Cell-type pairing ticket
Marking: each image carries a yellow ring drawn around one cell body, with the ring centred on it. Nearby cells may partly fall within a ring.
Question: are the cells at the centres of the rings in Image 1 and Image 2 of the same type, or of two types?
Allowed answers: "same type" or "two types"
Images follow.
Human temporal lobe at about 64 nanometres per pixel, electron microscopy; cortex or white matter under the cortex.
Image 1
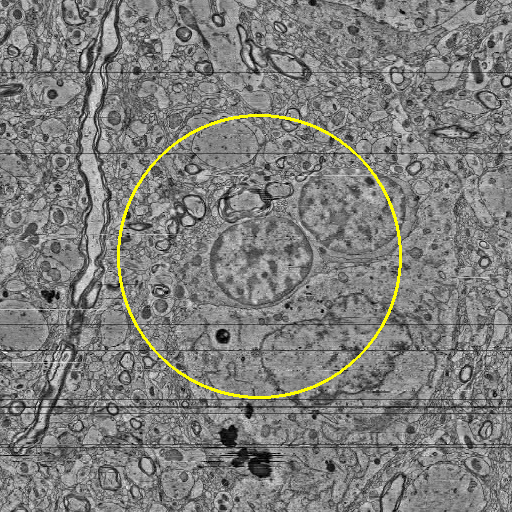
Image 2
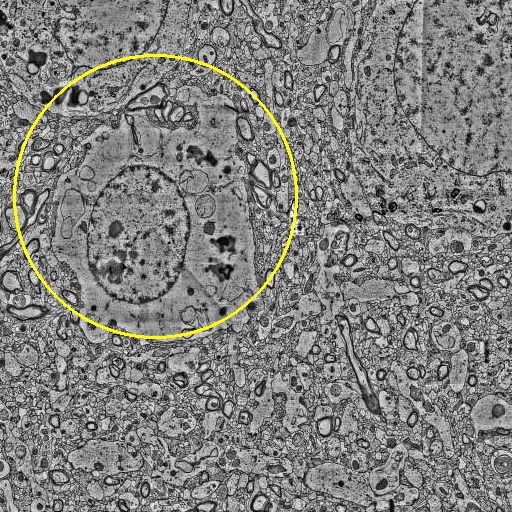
two types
